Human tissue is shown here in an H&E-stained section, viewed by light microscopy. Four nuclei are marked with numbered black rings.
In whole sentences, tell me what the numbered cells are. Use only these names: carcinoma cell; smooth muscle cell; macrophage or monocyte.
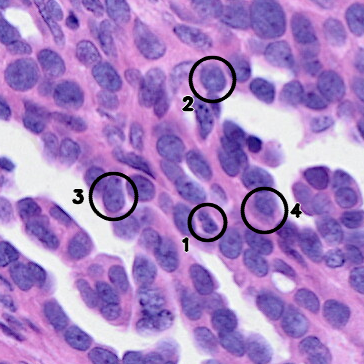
Cell 1 is a macrophage or monocyte. Cells 2, 3 and 4 are carcinoma cells.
